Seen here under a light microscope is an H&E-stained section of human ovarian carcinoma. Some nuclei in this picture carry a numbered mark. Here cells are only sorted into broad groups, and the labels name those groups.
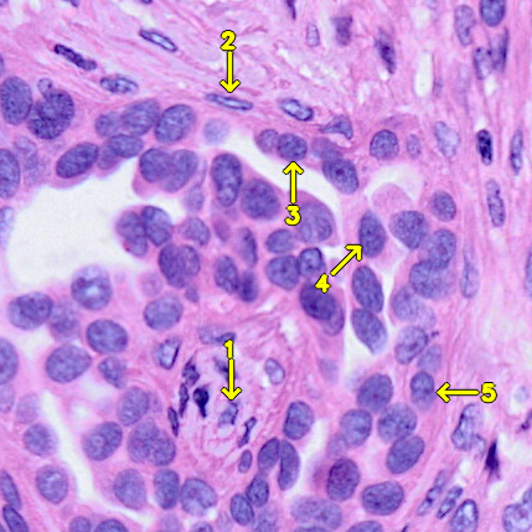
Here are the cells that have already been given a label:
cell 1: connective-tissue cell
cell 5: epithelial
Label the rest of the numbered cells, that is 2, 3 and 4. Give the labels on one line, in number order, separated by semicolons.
connective-tissue cell; epithelial; epithelial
